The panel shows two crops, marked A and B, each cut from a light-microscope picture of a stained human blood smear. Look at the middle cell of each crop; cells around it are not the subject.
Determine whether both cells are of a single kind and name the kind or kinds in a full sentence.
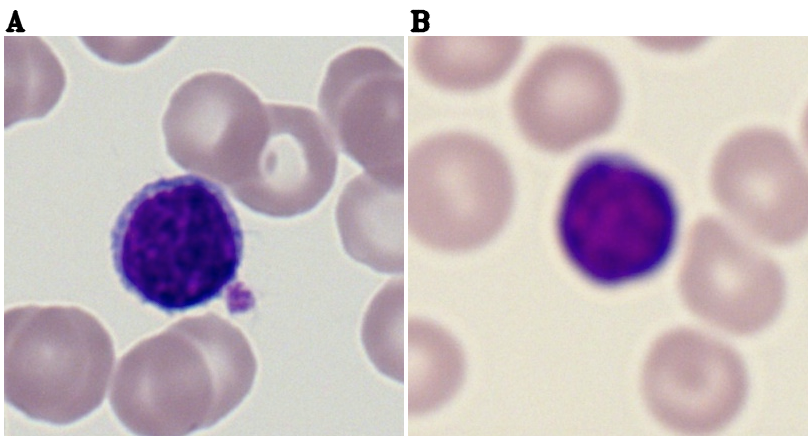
Yes, that holds, both crops show lymphocytes.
